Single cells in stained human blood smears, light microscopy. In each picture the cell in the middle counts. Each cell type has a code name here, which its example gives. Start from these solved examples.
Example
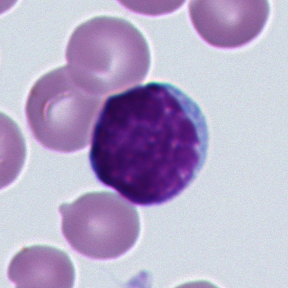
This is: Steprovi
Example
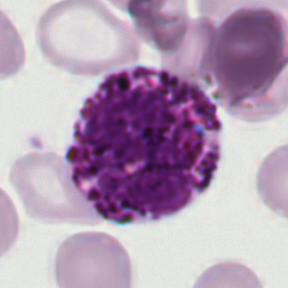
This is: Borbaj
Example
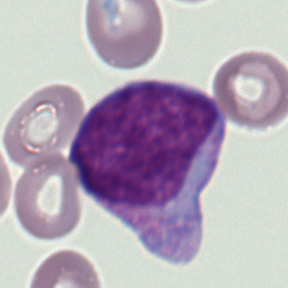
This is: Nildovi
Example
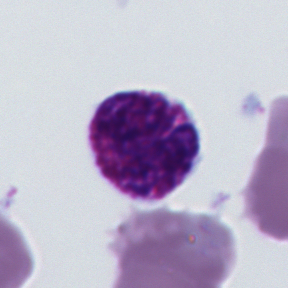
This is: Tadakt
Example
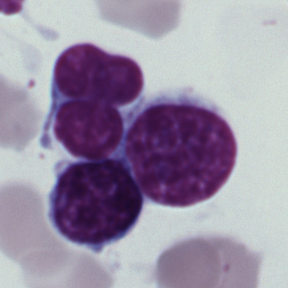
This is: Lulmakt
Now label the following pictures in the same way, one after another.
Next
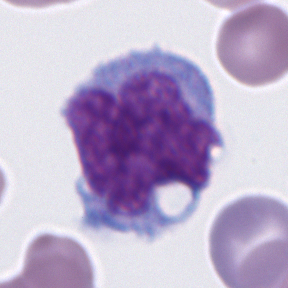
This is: Lulmakt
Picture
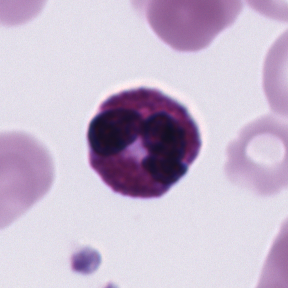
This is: Tadakt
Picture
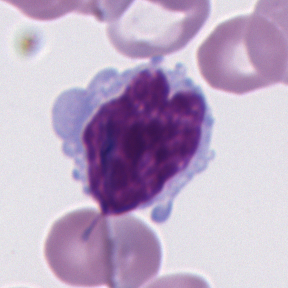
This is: Steprovi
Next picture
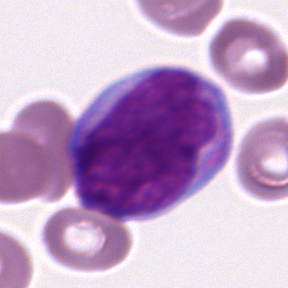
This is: Nildovi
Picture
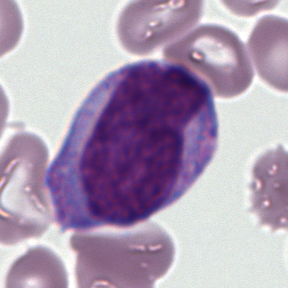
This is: Nildovi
